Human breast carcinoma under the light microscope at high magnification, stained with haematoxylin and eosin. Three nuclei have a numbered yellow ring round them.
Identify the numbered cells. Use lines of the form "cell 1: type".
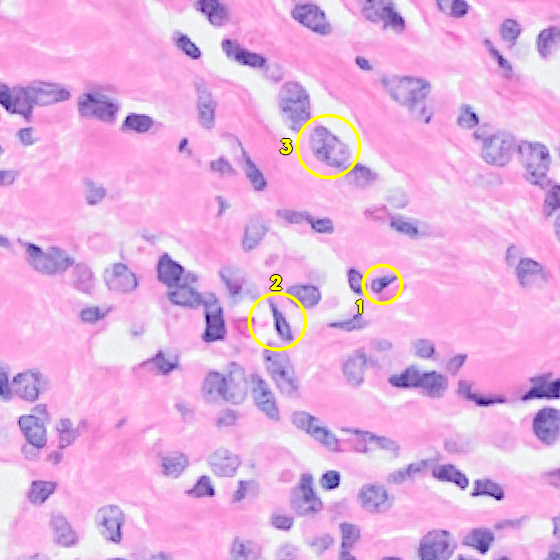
cell 1: endothelial cell
cell 2: endothelial cell
cell 3: carcinoma cell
